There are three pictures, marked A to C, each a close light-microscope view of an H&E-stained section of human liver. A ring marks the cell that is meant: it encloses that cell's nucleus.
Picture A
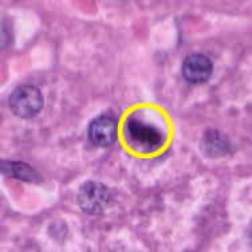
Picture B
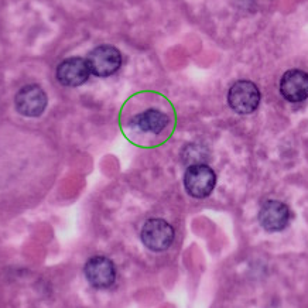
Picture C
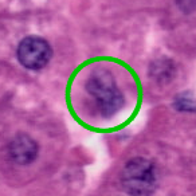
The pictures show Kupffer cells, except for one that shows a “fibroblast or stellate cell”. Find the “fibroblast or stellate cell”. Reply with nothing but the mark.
B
